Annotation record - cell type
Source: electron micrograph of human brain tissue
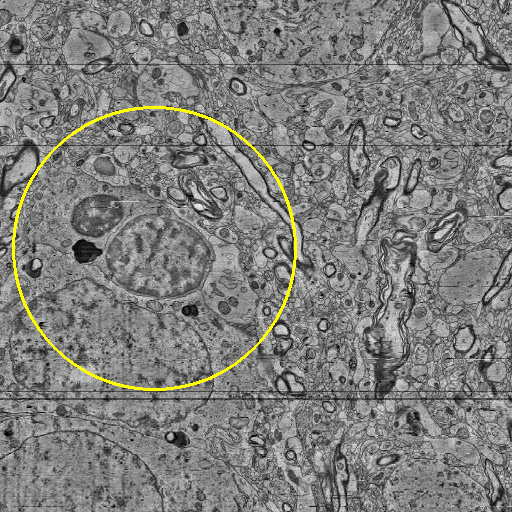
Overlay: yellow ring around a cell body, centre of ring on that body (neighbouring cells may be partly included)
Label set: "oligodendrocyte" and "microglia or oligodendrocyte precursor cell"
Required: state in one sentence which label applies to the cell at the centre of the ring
This cell should be labelled as an oligodendrocyte.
